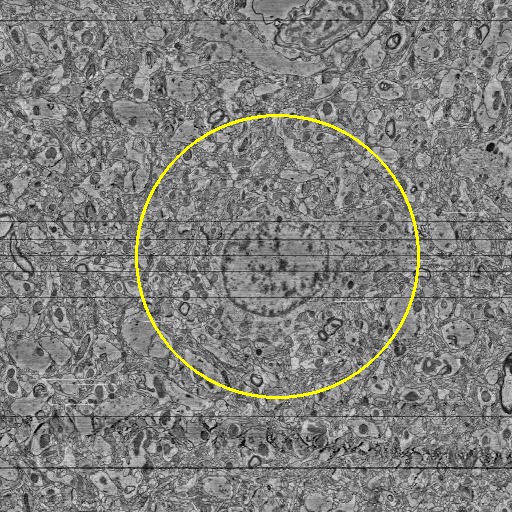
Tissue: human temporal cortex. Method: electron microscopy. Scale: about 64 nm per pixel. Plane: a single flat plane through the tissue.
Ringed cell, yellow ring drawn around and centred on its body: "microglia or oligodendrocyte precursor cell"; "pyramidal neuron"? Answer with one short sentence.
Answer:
This ringed cell is a pyramidal neuron.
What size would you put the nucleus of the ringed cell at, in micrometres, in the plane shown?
The nucleus comes to roughly 7 micrometres across in this plane.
